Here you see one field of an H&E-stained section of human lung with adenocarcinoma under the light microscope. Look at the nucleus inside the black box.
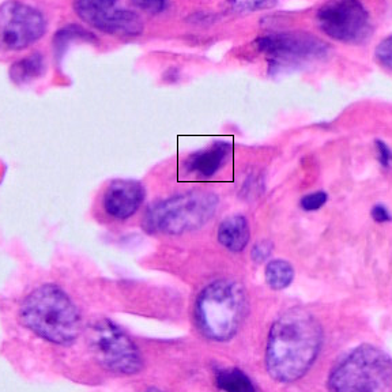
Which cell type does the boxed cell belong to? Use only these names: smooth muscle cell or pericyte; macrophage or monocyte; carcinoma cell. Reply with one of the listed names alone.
carcinoma cell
